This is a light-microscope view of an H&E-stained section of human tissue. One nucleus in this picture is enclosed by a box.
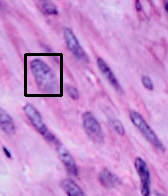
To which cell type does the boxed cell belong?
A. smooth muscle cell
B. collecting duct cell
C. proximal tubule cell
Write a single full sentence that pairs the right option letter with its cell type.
Option A wins here: the boxed cell is a smooth muscle cell.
